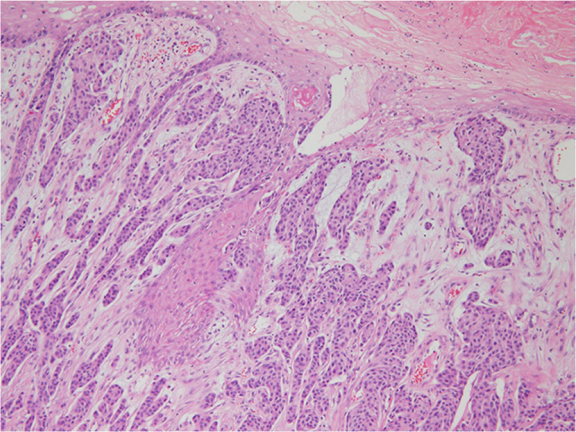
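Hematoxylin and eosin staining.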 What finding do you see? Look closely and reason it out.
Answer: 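Irregular nests and cords of tumor cells extend down into the dermal stroma. Tumor nests are separated by pale, loose stroma with small vessels. That points to this answer: infiltrate into the dermis.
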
